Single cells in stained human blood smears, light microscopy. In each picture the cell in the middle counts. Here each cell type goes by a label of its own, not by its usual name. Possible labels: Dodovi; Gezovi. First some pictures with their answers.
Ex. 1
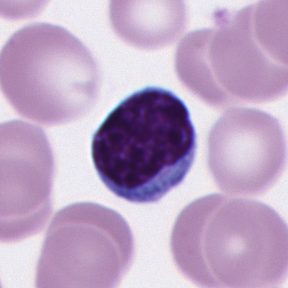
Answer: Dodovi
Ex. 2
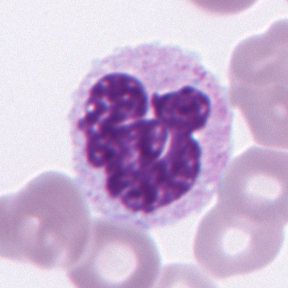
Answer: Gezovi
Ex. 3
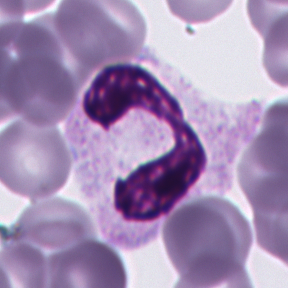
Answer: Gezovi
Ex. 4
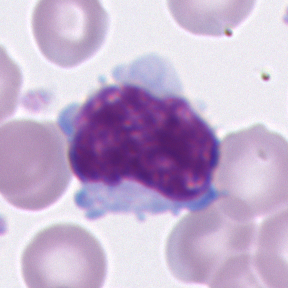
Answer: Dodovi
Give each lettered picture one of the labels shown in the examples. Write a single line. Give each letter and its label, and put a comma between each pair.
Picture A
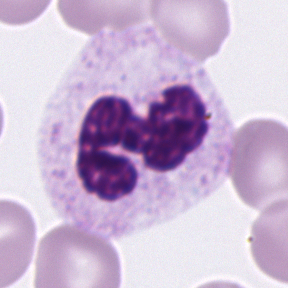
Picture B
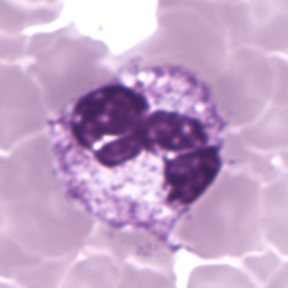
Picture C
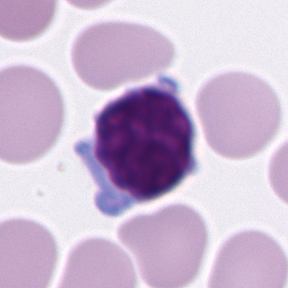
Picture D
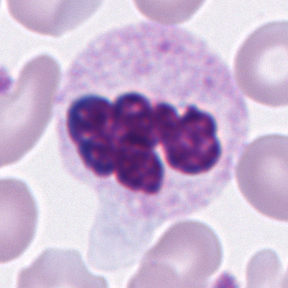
A Gezovi, B Gezovi, C Dodovi, D Gezovi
